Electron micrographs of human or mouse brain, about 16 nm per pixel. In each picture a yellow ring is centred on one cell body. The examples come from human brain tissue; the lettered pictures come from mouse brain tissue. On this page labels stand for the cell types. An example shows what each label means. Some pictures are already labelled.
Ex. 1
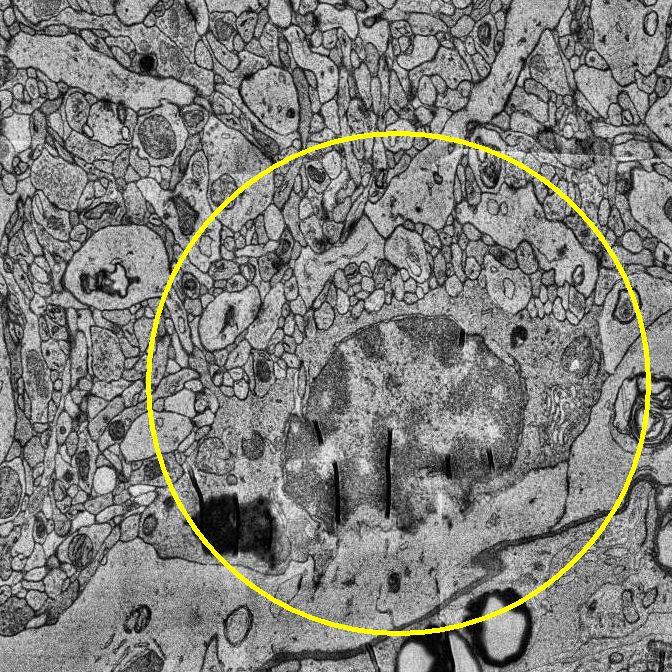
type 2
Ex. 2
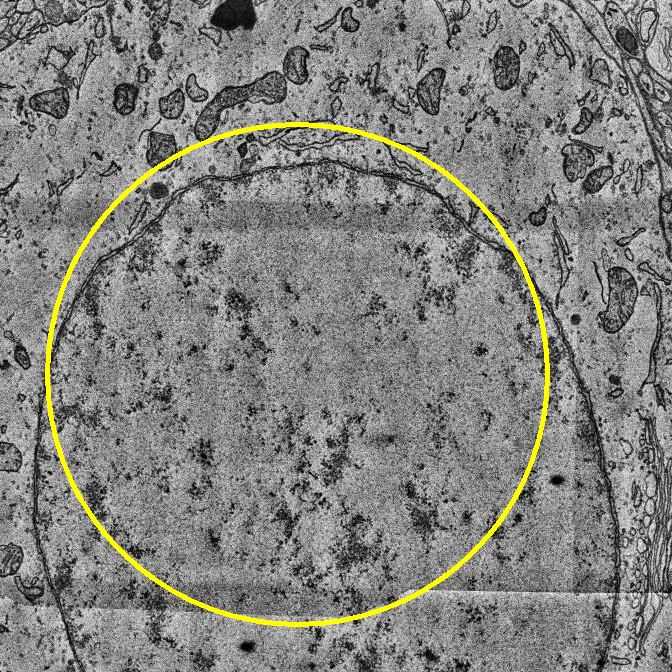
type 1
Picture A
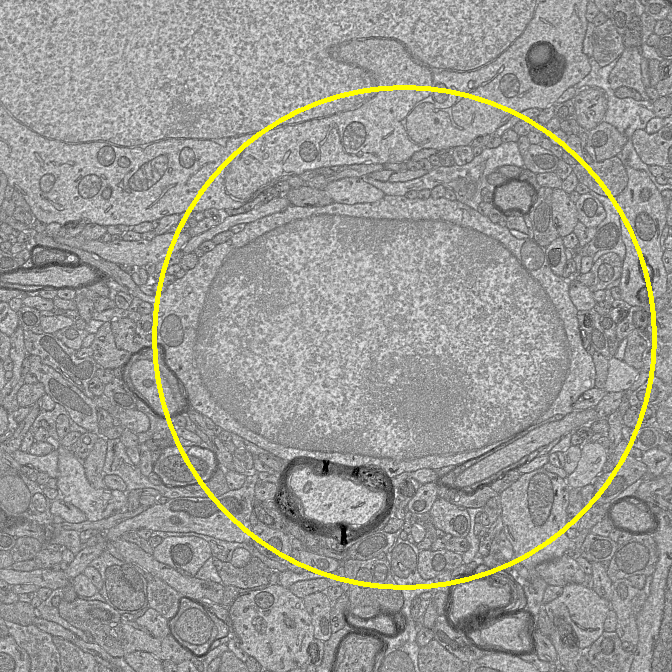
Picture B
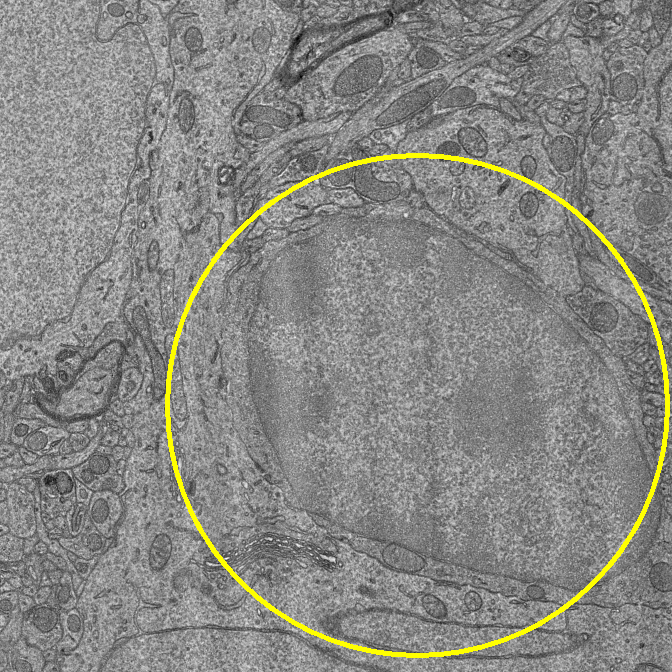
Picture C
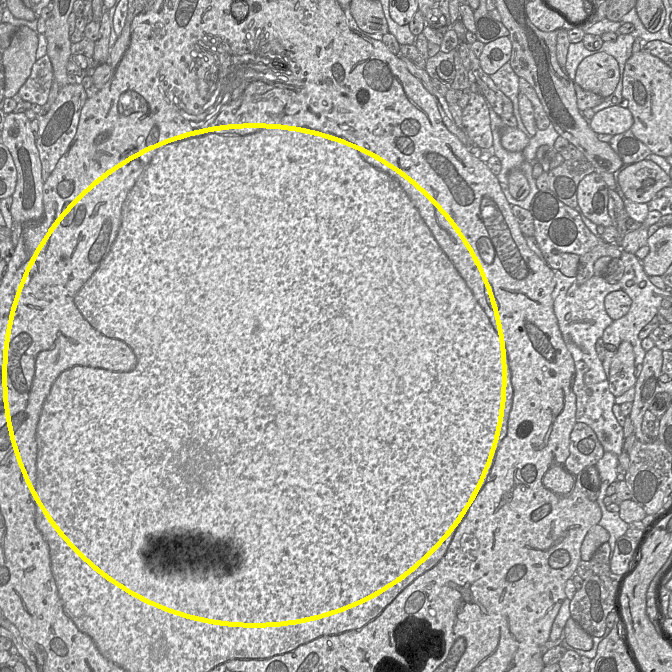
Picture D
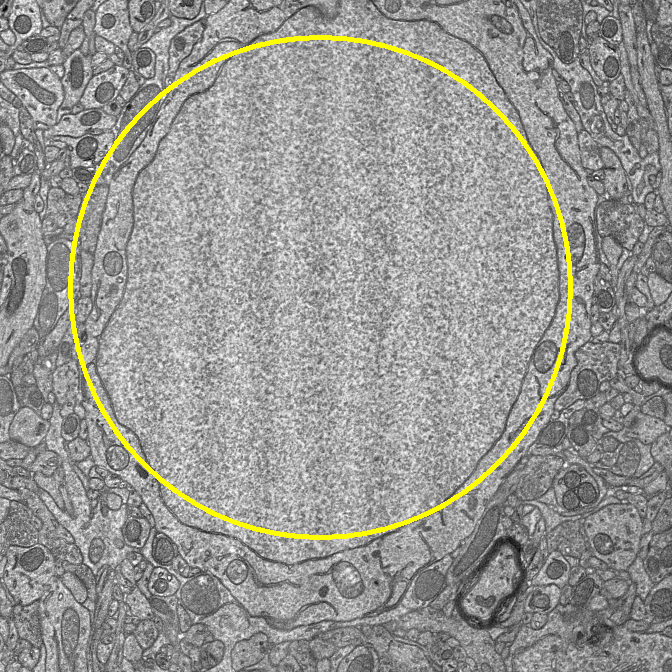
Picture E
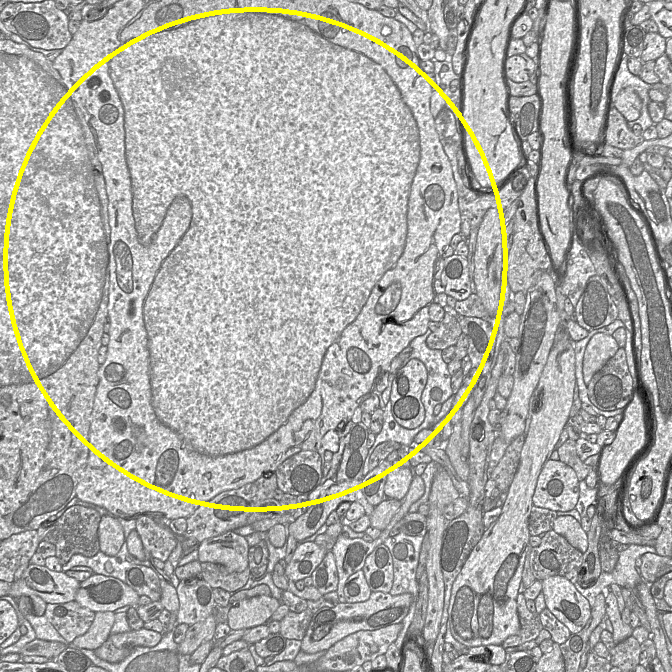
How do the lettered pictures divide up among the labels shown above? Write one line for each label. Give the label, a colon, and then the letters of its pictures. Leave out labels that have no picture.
type 2: A, B
type 1: C, D, E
